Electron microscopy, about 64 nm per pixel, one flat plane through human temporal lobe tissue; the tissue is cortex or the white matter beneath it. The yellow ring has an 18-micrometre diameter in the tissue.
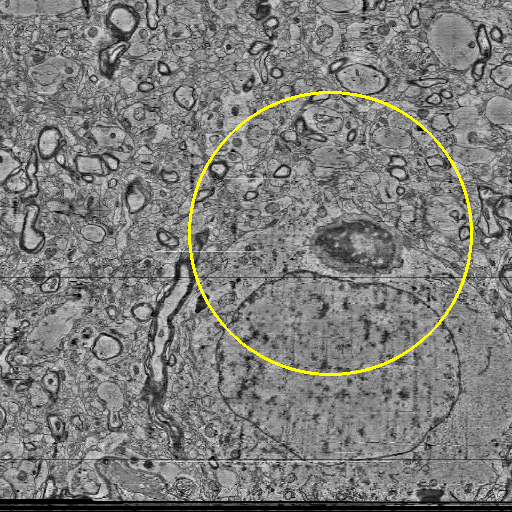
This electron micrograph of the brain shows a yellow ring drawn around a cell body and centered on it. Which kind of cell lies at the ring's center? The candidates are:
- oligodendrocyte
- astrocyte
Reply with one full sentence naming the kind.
The cell lying at the ring's center in this micrograph is an oligodendrocyte.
